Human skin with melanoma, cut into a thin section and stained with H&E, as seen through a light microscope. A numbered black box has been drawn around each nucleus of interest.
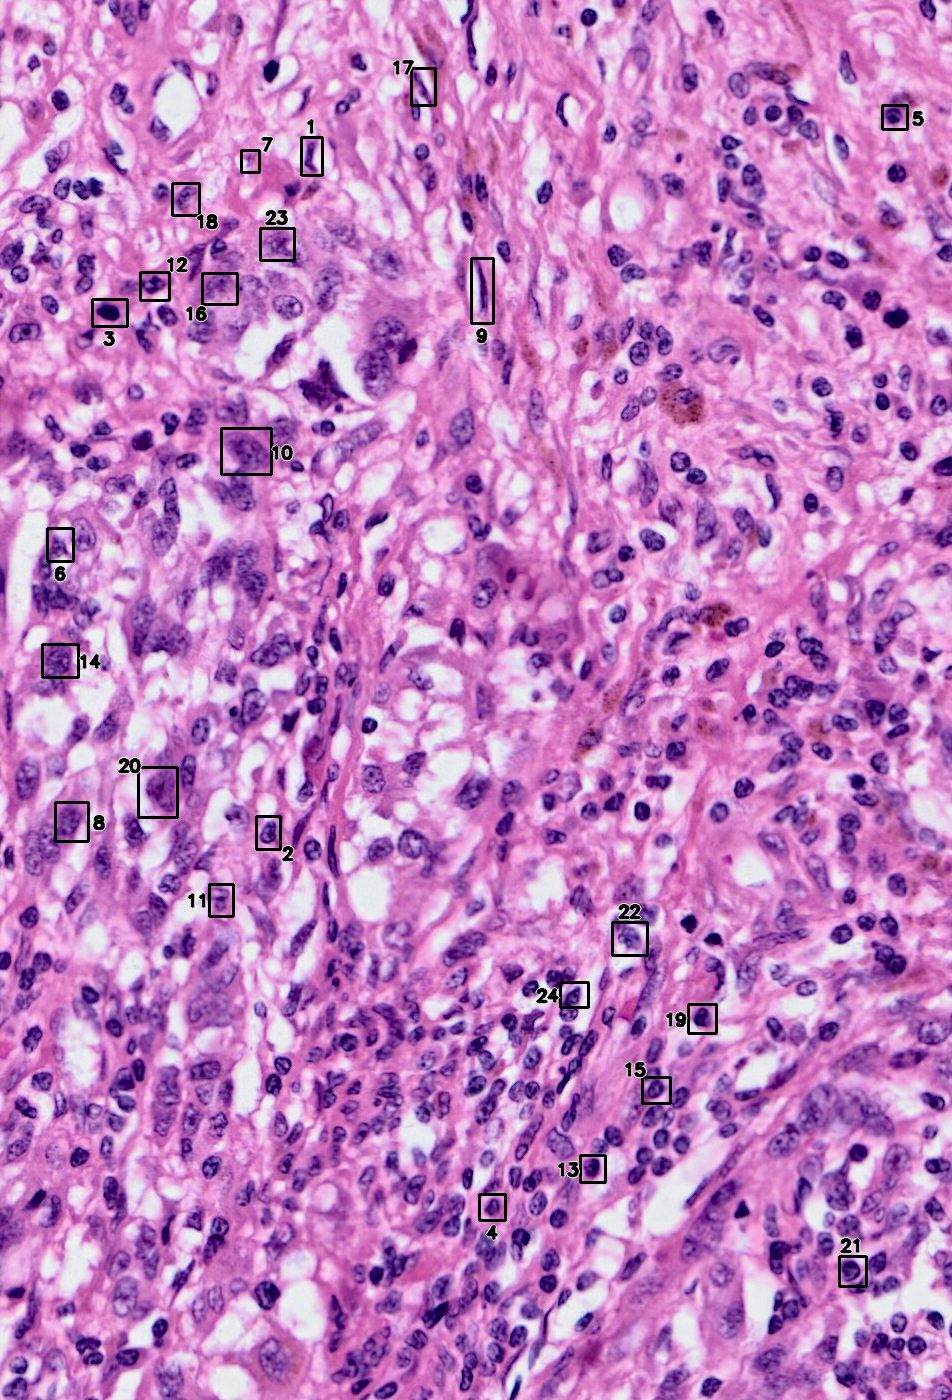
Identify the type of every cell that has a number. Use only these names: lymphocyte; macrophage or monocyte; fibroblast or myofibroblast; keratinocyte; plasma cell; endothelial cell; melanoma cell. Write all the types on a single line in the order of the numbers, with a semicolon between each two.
fibroblast or myofibroblast; lymphocyte; plasma cell; lymphocyte; plasma cell; melanoma cell; fibroblast or myofibroblast; melanoma cell; fibroblast or myofibroblast; melanoma cell; macrophage or monocyte; plasma cell; lymphocyte; melanoma cell; lymphocyte; melanoma cell; fibroblast or myofibroblast; macrophage or monocyte; lymphocyte; melanoma cell; lymphocyte; lymphocyte; melanoma cell; lymphocyte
